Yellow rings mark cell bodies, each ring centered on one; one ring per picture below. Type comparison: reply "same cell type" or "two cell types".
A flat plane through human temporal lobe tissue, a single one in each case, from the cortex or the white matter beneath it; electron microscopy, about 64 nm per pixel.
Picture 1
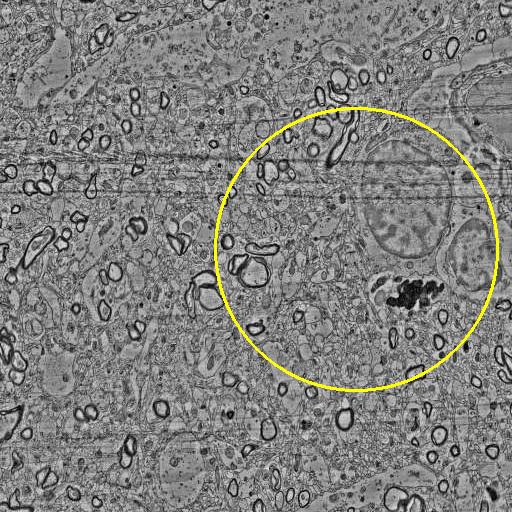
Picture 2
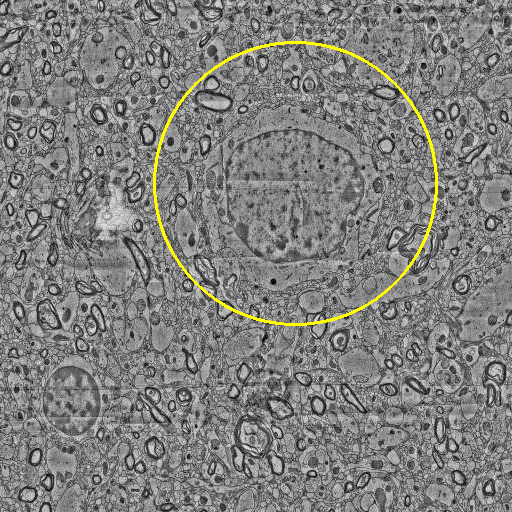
two cell types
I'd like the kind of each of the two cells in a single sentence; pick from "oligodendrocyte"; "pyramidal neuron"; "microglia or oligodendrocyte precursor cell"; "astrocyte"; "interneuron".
The first ring marks an oligodendrocyte, and the second ring marks a microglial cell or oligodendrocyte precursor cell.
